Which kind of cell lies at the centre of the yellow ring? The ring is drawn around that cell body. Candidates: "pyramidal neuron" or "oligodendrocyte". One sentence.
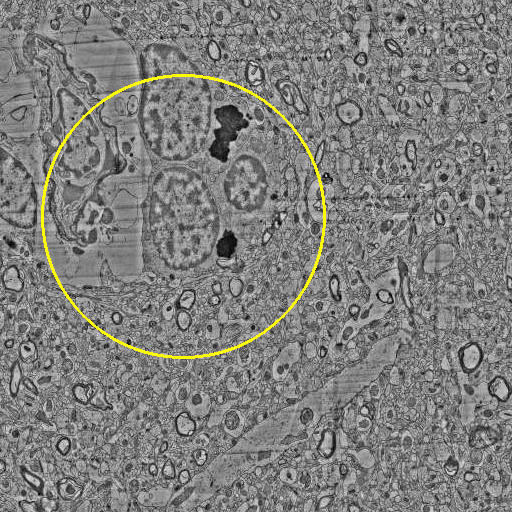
Lying at the centre of the ring is an oligodendrocyte.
